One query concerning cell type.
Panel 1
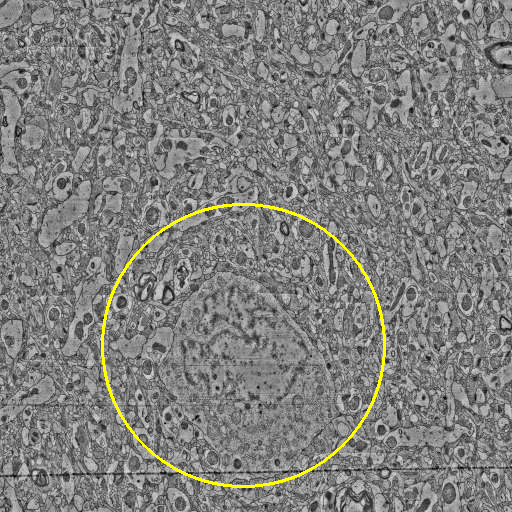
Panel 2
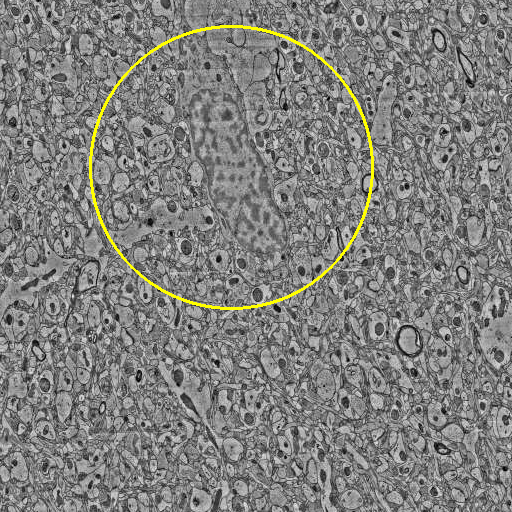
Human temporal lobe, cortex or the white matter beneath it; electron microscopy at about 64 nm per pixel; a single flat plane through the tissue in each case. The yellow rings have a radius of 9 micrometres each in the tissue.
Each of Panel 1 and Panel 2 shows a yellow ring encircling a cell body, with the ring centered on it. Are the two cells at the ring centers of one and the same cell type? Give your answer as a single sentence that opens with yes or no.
No, the cell centered in Panel 1 and the one in Panel 2 are of two types.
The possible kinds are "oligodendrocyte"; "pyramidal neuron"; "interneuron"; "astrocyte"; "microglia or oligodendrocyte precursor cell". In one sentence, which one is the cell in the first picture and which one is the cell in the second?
The cell ringed in the second picture is an oligodendrocyte, whereas the one ringed in the first is an interneuron.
